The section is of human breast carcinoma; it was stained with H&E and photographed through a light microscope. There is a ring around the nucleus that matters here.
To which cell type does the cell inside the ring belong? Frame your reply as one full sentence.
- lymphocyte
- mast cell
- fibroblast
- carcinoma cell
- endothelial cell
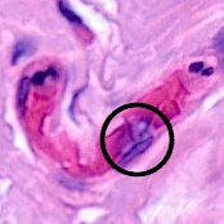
It is as an endothelial cell that the cell inside the ring is recorded.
